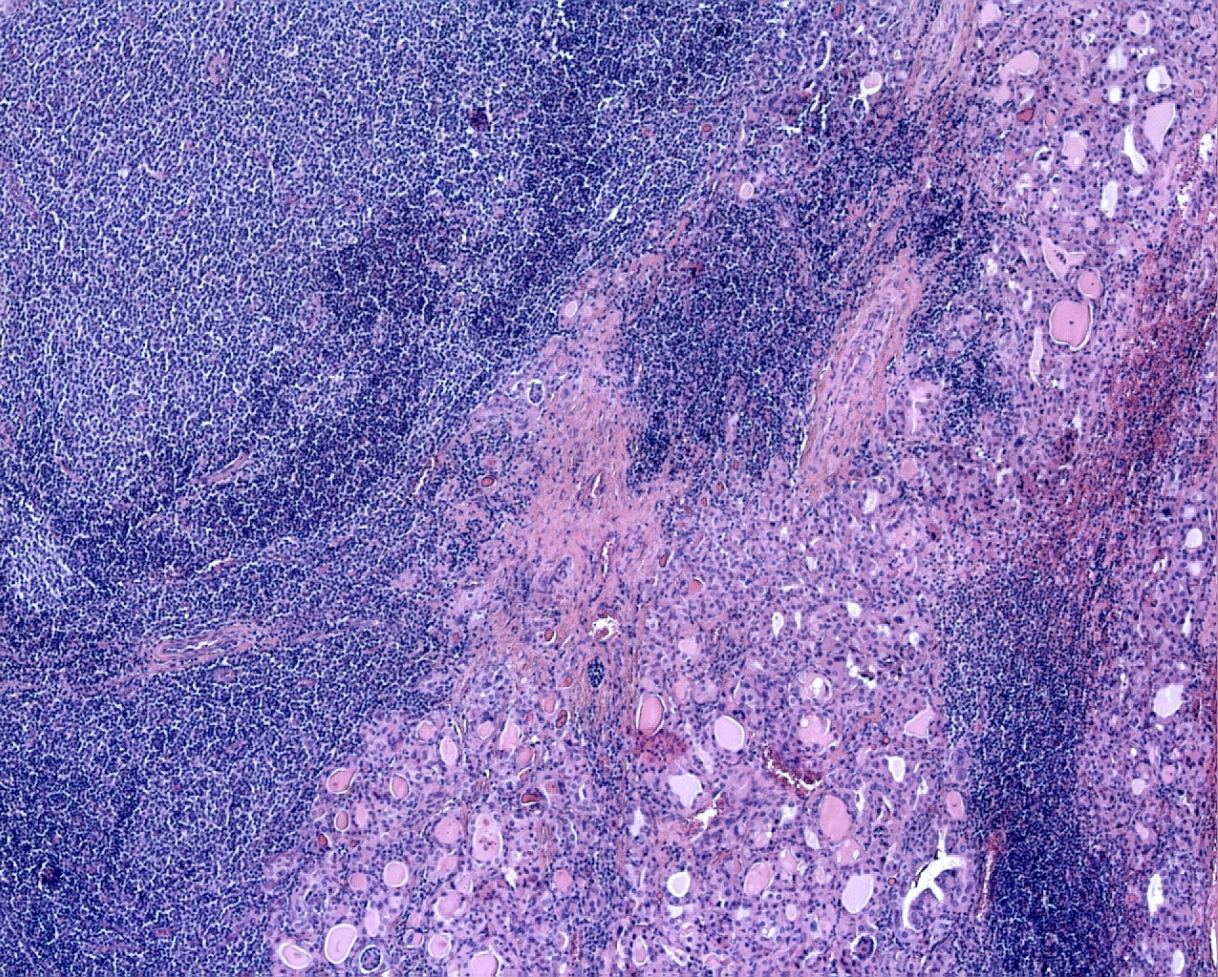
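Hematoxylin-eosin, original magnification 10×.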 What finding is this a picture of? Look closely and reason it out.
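Dense lymphoid infiltrate. The left half is a solid sheet of closely packed small cells with dark round nuclei. No follicles remain within this dark sheet. Strands of the dark cells also extend between the remaining follicles on the right.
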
